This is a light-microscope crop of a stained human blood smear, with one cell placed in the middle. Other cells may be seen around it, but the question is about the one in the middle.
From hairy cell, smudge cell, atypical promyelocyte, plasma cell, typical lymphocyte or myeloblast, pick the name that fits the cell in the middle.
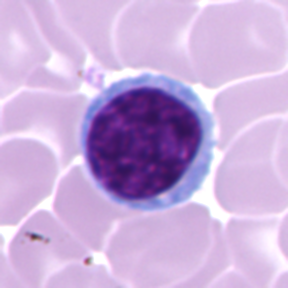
typical lymphocyte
